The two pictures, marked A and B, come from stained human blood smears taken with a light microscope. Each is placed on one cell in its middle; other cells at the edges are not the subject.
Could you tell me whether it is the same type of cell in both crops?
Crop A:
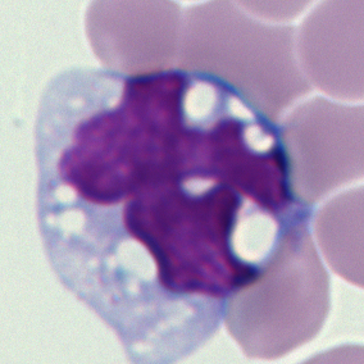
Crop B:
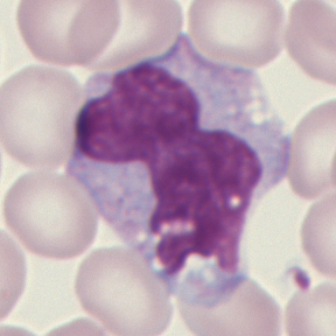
yes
